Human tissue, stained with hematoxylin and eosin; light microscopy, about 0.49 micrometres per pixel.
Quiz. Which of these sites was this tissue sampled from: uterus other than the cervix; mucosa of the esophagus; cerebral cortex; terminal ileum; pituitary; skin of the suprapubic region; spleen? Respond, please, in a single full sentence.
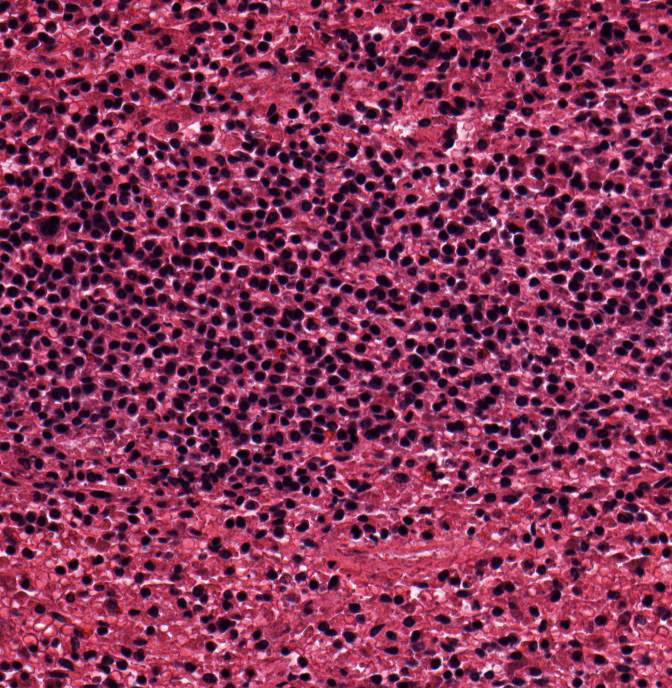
The slide carries a tissue sample from the spleen.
